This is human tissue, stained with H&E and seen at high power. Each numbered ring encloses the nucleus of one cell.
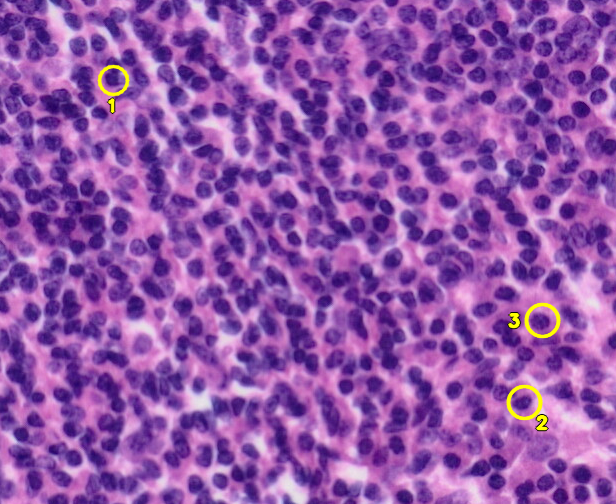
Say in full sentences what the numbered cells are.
Cell 1 is a small lymphocyte, cell 2 is a plasma cell and cell 3 is a plasma cell.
